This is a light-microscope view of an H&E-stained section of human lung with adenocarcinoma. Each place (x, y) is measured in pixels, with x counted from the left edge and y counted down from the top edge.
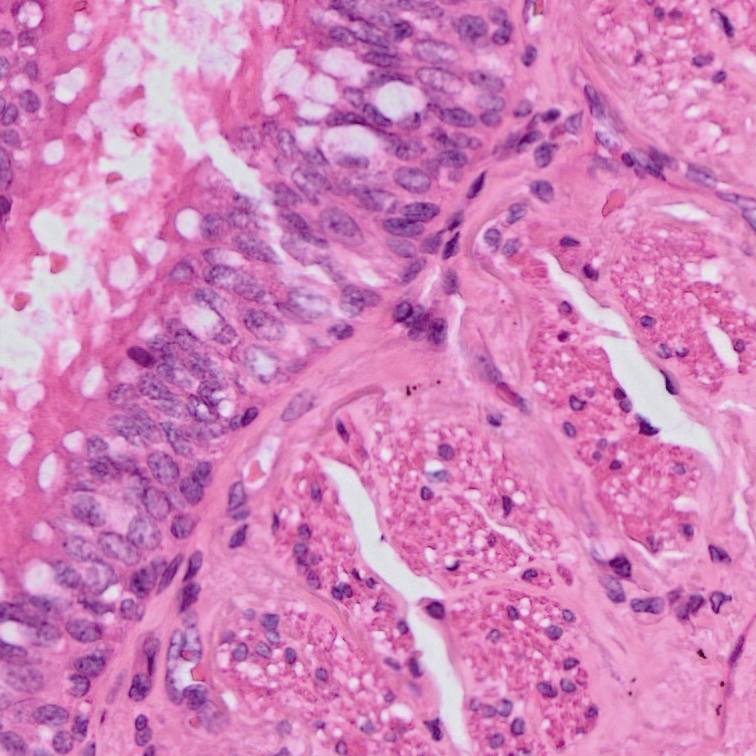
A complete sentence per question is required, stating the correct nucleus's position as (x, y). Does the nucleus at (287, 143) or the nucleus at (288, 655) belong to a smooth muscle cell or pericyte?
The nucleus located at (288, 655) is the one held within a smooth muscle cell or pericyte.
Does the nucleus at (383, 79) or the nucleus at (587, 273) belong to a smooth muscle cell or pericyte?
Of these two nuclei, it is the one at (587, 273) that belongs to a smooth muscle cell or pericyte.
